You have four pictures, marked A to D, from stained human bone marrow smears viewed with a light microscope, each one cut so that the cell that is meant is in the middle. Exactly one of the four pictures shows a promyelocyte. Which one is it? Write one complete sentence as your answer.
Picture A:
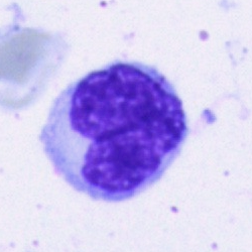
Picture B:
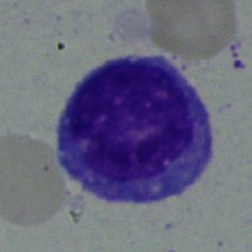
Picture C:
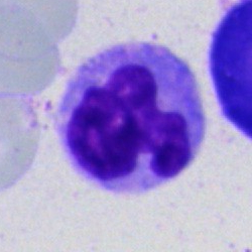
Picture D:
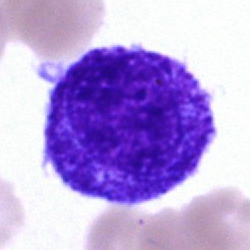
The cell in picture D is the promyelocyte.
